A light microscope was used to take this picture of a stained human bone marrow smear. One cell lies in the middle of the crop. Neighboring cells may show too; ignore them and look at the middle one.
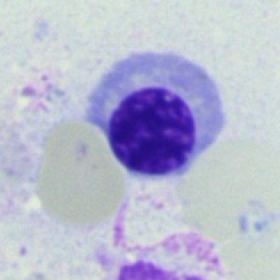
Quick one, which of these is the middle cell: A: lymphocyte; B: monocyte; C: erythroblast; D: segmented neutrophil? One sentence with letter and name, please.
The correct choice is option C, which identifies the middle cell as an erythroblast.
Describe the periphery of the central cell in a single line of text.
The cell shows a smooth outline that lacks any surface projections.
